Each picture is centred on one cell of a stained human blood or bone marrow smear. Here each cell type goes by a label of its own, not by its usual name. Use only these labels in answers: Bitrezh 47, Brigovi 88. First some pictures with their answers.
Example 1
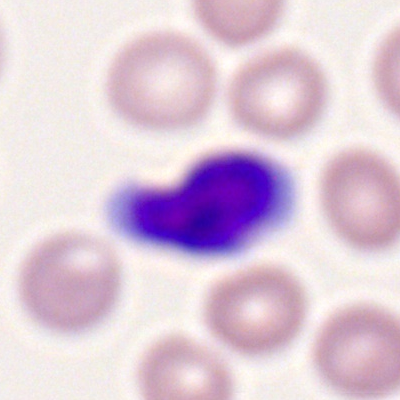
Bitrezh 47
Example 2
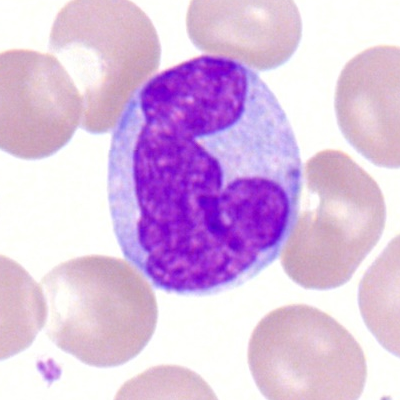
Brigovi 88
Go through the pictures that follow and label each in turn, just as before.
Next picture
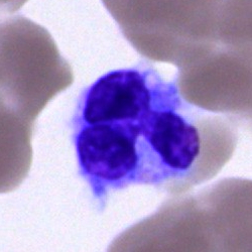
Brigovi 88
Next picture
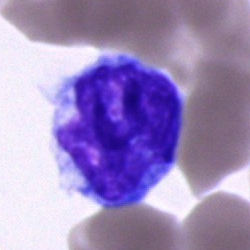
Brigovi 88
